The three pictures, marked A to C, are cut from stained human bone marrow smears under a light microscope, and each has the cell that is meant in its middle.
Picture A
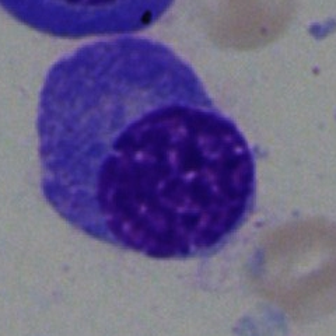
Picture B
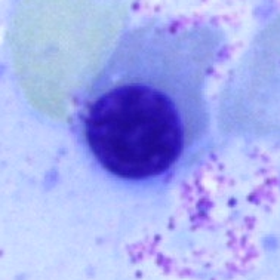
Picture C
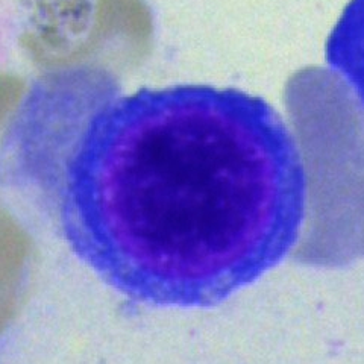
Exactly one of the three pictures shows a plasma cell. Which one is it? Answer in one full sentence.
The plasma cell is the one in picture A.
